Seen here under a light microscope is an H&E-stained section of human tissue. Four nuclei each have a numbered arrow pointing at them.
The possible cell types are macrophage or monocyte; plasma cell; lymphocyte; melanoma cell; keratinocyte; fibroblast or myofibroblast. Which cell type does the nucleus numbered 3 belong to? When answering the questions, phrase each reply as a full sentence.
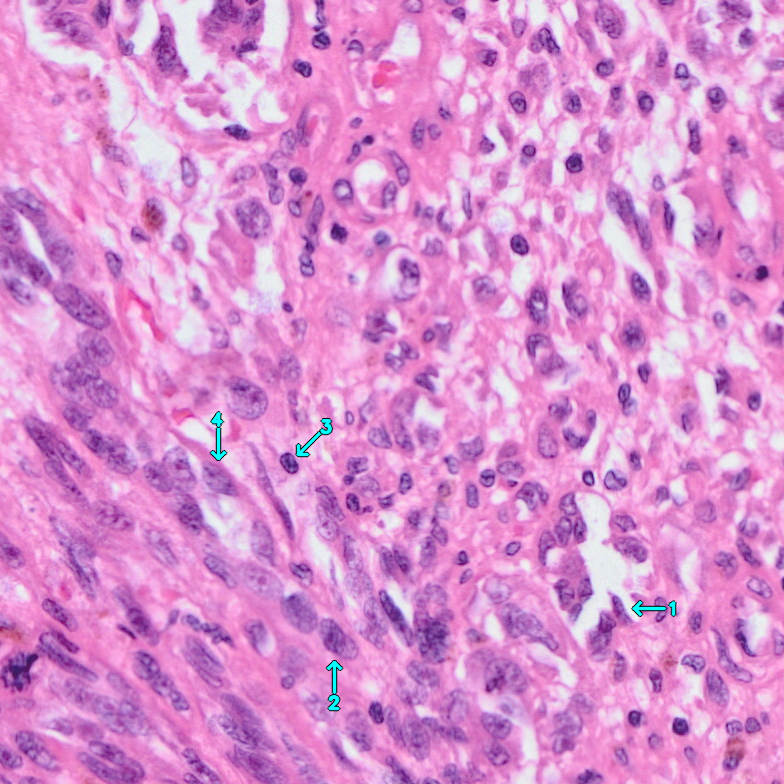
In the tissue shown, cell 3 is a lymphocyte.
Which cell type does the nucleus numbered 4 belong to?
The marked cell with the number 4 is recognised as a melanoma cell.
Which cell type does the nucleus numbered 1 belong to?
Denoted by the label 1 in the section is a melanoma cell.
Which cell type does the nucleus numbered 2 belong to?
Cell 2, among those numbered, is a melanoma cell.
